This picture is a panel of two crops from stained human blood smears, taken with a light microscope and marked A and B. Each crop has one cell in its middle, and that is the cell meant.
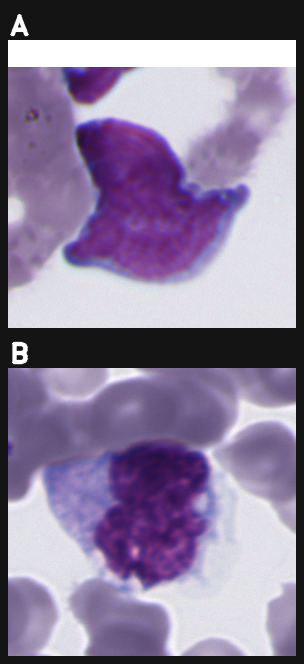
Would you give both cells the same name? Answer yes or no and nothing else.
no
